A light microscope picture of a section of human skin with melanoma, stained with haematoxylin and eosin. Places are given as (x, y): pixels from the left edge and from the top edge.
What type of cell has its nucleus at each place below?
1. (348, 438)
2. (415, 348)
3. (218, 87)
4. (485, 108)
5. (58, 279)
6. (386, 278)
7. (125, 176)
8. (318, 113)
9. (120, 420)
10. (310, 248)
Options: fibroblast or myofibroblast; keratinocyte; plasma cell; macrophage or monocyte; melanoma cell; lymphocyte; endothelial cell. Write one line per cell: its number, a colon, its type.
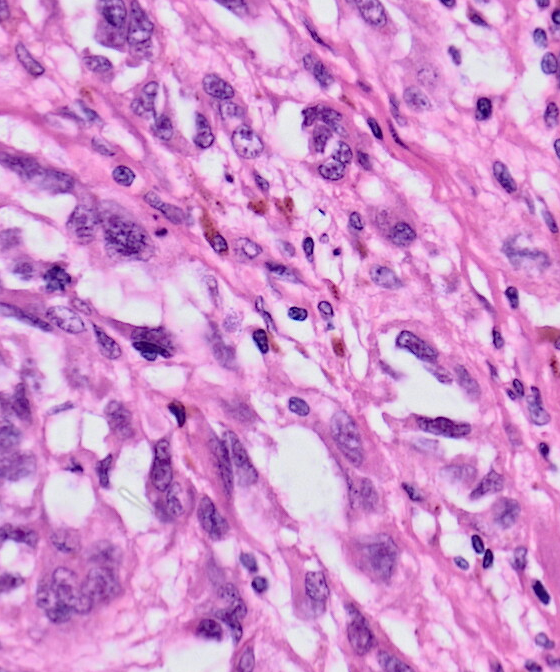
1: melanoma cell
2: melanoma cell
3: melanoma cell
4: plasma cell
5: melanoma cell
6: macrophage or monocyte
7: lymphocyte
8: melanoma cell
9: melanoma cell
10: lymphocyte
